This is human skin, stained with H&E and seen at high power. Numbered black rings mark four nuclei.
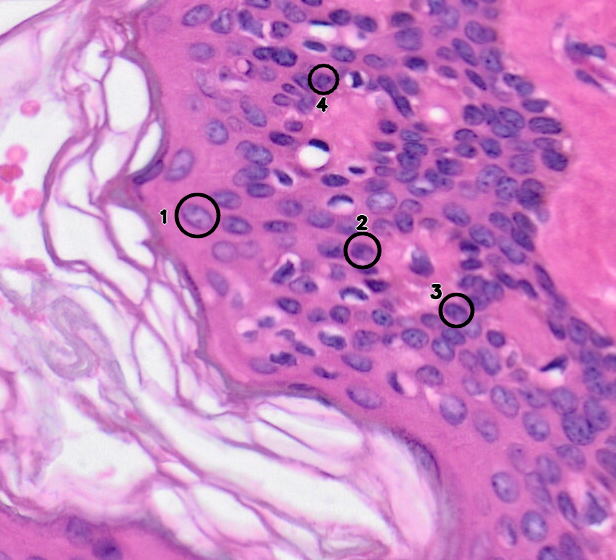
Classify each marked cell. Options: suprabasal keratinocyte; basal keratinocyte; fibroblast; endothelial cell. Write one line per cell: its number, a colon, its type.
1: suprabasal keratinocyte
2: basal keratinocyte
3: basal keratinocyte
4: basal keratinocyte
